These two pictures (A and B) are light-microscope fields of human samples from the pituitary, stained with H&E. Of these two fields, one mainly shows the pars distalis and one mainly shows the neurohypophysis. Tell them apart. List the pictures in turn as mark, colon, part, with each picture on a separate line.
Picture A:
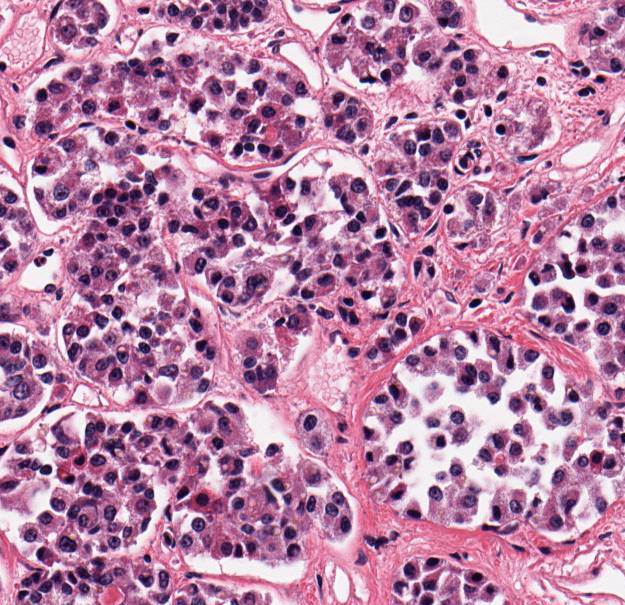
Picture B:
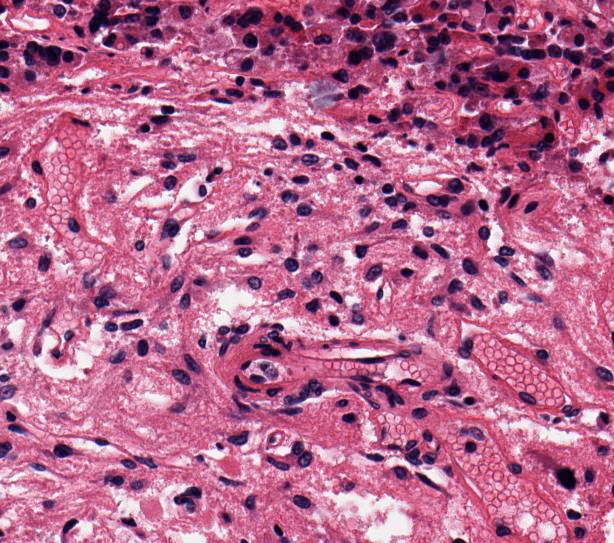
A: pars distalis
B: neurohypophysis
